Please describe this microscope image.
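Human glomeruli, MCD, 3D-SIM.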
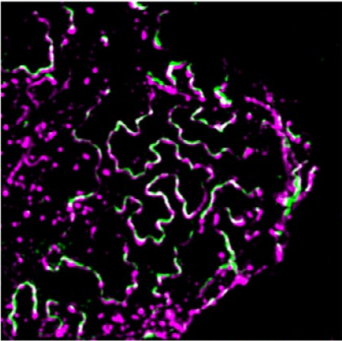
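The magenta slit lines are fewer, wider spaced and broken into many dots compared with a dense regular meshwork. Green forms long, continuous curving lines that run along the remaining slits, often overlapping the magenta in white.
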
